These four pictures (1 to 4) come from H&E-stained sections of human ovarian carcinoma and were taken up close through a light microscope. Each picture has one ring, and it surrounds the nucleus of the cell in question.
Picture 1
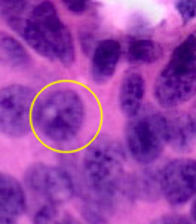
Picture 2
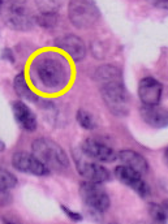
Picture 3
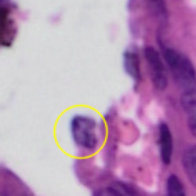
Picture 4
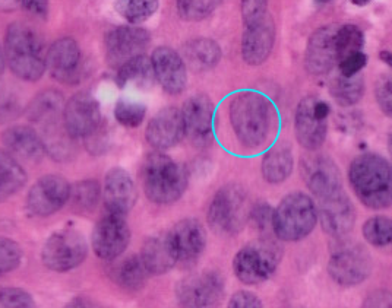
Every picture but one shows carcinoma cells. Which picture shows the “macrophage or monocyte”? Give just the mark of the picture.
3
